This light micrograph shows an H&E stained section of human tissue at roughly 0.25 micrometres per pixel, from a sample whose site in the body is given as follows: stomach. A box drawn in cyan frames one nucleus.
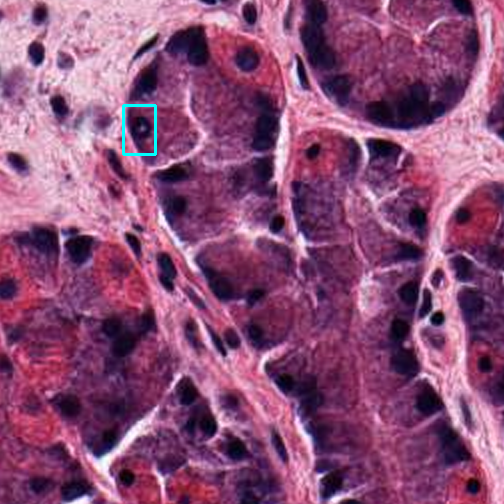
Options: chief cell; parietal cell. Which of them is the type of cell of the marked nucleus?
chief cell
